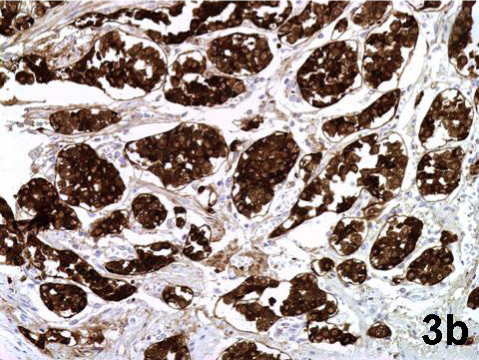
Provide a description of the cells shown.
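Tumour cells are grouped in rounded and oval solid nests separated by thin strands of pale stroma. Nearly every cell in the nests shows dense brown staining of the cytoplasm, so that the nests stand out dark against the unstained background. The staining is diffuse and strong throughout each nest, while the stromal cells between them remain pale with blue nuclei.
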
